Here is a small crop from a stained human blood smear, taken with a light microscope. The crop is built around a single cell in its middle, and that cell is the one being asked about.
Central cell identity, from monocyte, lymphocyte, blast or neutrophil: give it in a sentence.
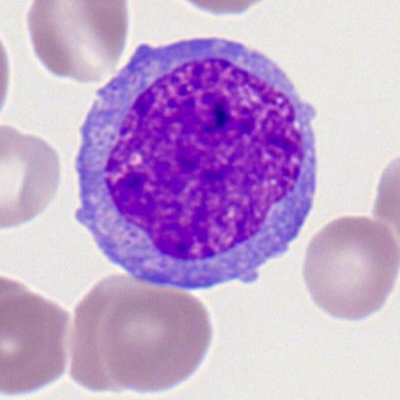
Whatever else lies nearby, the middle cell is a monocyte.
